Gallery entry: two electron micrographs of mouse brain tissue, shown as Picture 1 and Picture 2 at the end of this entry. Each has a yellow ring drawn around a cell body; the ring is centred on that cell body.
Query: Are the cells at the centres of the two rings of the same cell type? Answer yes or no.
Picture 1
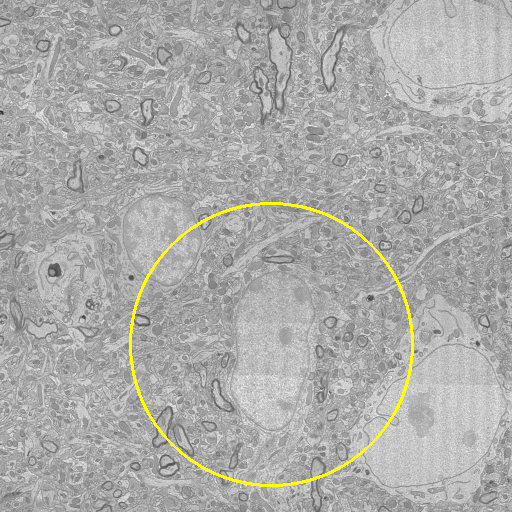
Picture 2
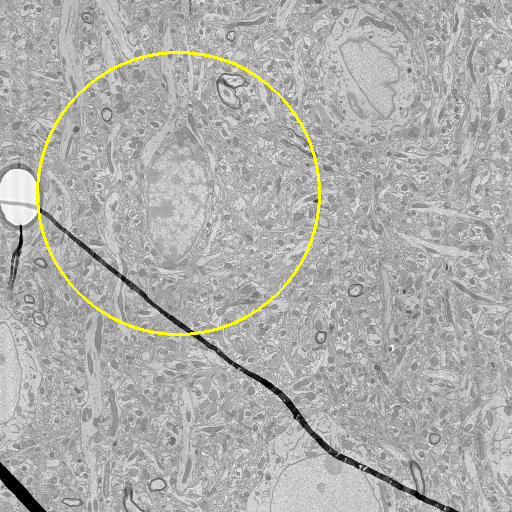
no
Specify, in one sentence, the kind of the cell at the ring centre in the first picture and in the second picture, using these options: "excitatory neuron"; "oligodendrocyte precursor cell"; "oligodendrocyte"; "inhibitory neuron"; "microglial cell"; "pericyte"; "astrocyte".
So the first is an astrocyte, the second an oligodendrocyte.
